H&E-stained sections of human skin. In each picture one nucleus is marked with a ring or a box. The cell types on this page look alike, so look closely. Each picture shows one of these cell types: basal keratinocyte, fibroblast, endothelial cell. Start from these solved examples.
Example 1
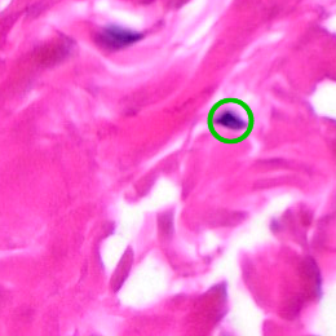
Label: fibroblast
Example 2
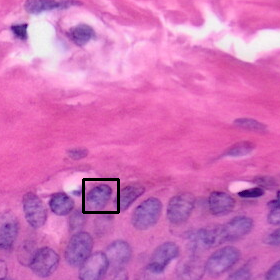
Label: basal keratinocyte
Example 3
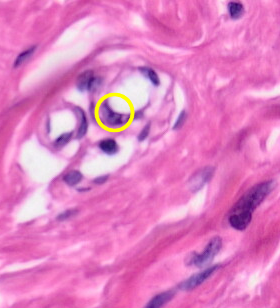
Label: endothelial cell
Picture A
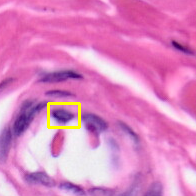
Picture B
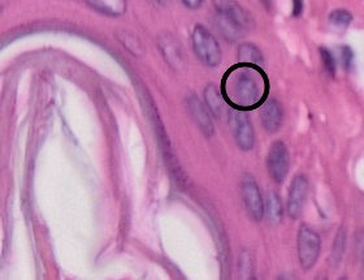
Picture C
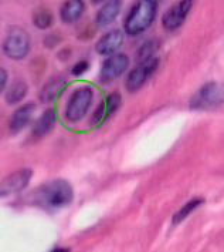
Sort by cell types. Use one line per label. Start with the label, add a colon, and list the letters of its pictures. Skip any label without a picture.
basal keratinocyte: B, C
endothelial cell: A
